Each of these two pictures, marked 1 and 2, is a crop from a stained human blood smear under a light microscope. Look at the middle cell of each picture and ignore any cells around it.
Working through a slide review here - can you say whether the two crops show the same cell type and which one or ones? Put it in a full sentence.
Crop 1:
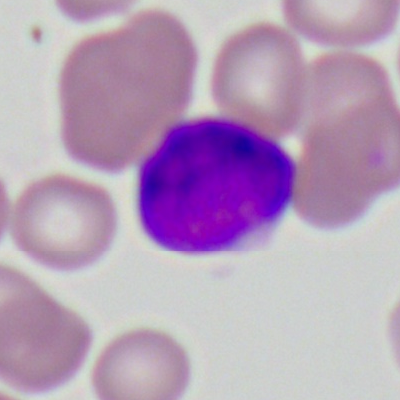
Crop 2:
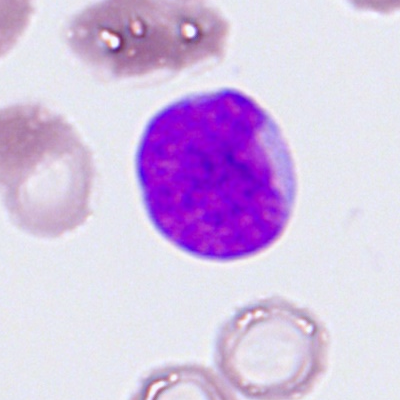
Yes, the cells in both crops are myeloblasts.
